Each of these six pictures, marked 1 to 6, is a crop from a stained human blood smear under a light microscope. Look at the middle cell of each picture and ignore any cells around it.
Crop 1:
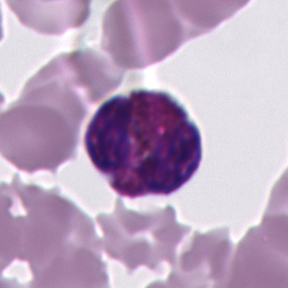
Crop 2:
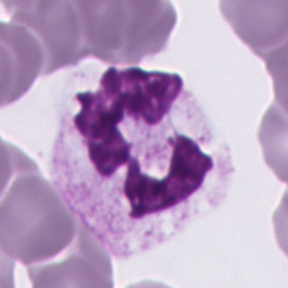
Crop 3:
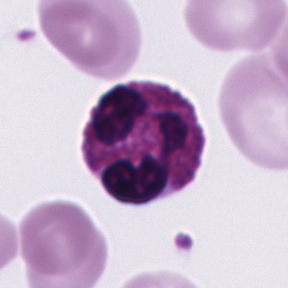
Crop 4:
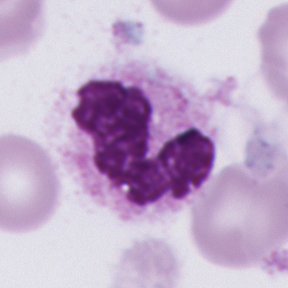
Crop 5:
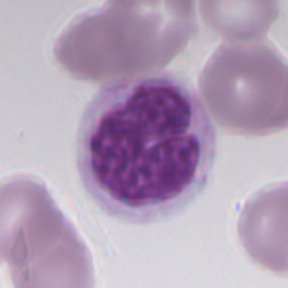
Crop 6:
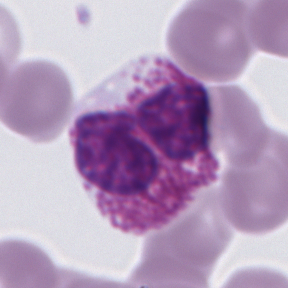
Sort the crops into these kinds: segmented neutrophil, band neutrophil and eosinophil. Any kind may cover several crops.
1: eosinophil
2: segmented neutrophil
3: eosinophil
4: segmented neutrophil
5: band neutrophil
6: eosinophil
